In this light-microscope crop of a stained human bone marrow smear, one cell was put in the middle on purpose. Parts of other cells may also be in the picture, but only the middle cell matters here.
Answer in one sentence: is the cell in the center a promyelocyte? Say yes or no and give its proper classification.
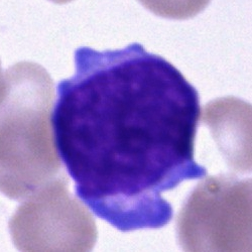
No, the centrally located cell is a blast rather than a promyelocyte.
